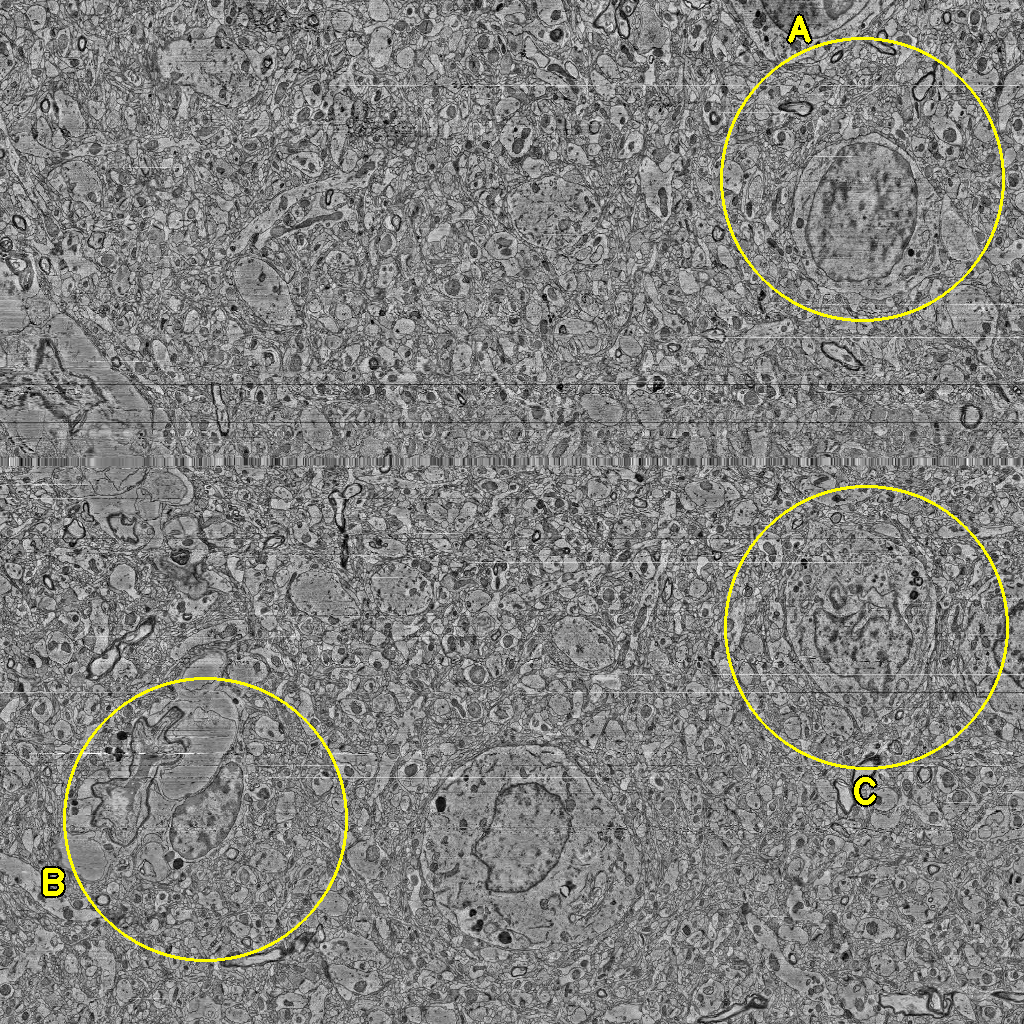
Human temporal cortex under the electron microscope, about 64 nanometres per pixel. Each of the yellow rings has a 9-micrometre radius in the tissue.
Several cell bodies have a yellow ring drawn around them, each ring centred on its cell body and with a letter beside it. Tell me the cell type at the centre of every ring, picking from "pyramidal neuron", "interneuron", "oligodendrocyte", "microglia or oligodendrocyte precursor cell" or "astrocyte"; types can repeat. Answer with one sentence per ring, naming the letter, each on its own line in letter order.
In ring A, the central cell is an interneuron.
In ring B, the central cell is a microglial cell or oligodendrocyte precursor cell.
In ring C, the central cell is an interneuron.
